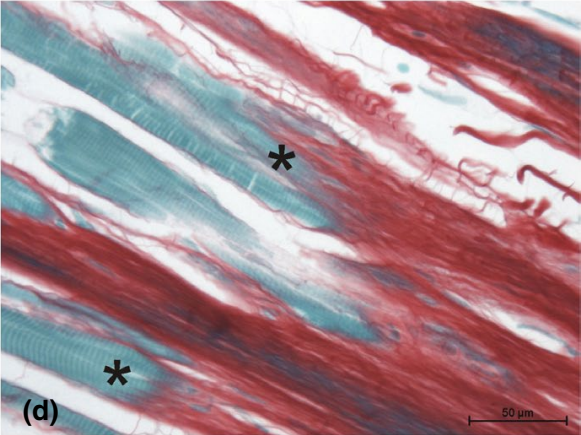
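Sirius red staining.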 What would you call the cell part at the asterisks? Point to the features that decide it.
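Finger‐like protrusions of the muscle fibers. Striated green fibers taper into elongated ends. The tapered ends run parallel into dense red fibers.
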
